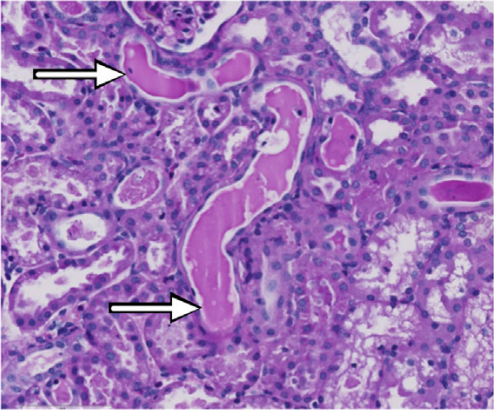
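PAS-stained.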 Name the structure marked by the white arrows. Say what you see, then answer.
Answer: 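The arrows point at homogeneous, strongly pink-magenta material with no nuclei. The material fills and takes the shape of elongated tubular lumens. Cuboidal epithelium with round nuclei lines the filled lumens. On this evidence: protein casts.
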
